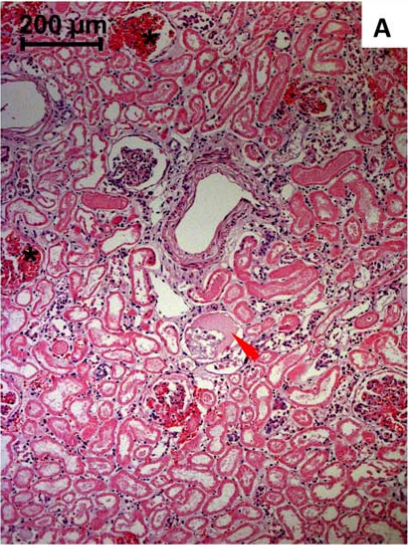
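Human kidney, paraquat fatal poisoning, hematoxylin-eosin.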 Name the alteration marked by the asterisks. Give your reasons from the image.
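The asterisks lie on areas packed with red blood cells. The red-cell masses sit among the tubules of the cortex. That points to this answer: vascular congestion.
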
